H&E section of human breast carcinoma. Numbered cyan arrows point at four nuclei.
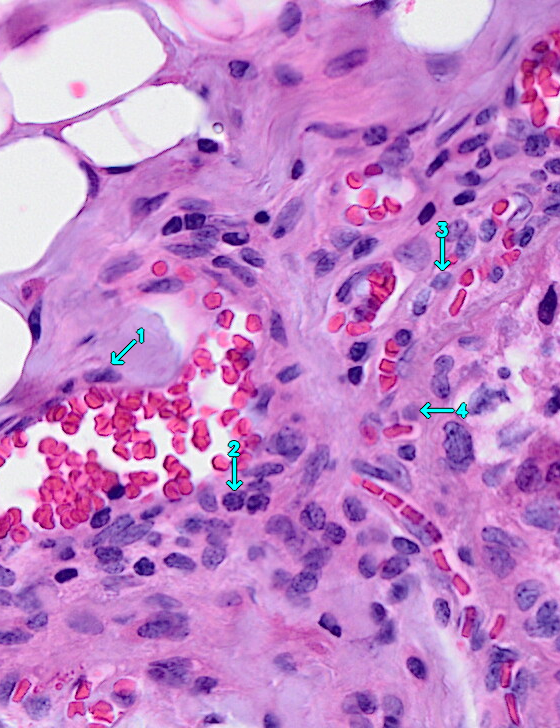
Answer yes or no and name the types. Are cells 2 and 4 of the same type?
No, cell 2 is a lymphocyte and cell 4 is an endothelial cell.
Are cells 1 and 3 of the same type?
Yes, both are endothelial cells.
